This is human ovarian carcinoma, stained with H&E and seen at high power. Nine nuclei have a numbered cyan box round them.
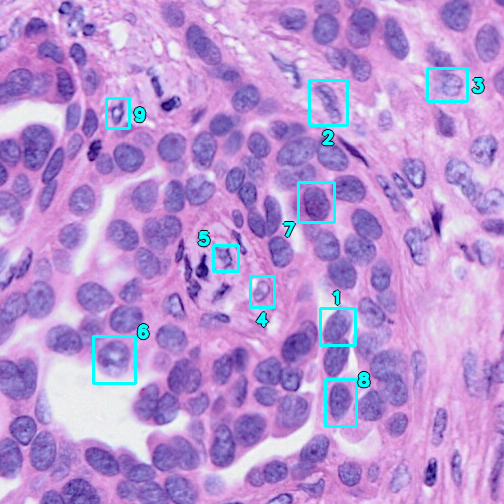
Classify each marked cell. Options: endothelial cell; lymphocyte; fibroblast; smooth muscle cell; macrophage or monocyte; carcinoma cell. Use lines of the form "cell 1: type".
cell 1: carcinoma cell
cell 2: fibroblast
cell 3: fibroblast
cell 4: fibroblast
cell 5: fibroblast
cell 6: carcinoma cell
cell 7: carcinoma cell
cell 8: carcinoma cell
cell 9: fibroblast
